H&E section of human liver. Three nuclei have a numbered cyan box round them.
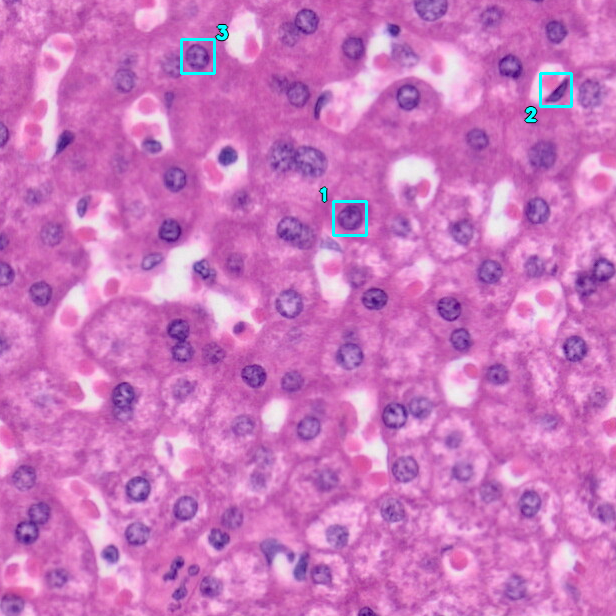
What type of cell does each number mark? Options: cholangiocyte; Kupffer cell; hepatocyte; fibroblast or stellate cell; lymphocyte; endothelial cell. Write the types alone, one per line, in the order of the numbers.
hepatocyte
endothelial cell
hepatocyte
